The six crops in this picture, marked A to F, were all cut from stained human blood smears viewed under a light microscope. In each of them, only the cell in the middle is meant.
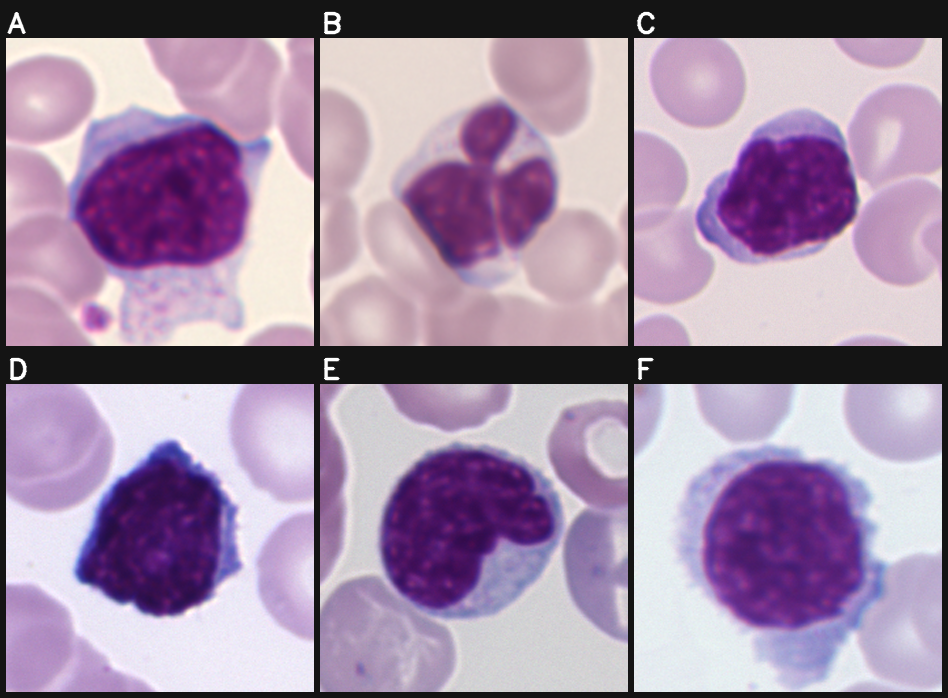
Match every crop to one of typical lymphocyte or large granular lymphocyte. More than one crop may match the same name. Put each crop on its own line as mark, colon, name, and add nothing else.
A: large granular lymphocyte
B: large granular lymphocyte
C: typical lymphocyte
D: typical lymphocyte
E: typical lymphocyte
F: typical lymphocyte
